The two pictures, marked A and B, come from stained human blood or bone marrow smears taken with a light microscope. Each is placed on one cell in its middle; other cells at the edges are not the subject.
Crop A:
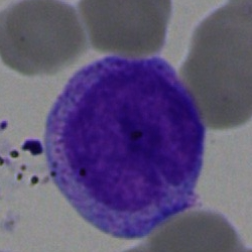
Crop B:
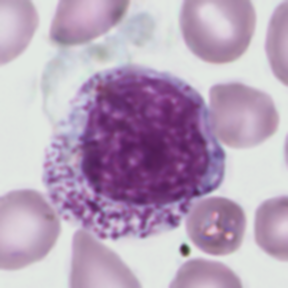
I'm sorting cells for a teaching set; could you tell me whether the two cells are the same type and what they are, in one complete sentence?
No, it is a promyelocyte in crop A and a myelocyte in crop B.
